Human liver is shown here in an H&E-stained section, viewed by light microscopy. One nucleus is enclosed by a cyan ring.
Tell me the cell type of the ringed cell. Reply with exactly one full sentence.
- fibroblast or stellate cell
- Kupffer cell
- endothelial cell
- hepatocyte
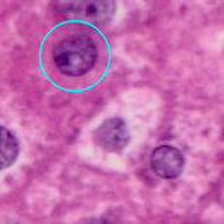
What the ringed cell represents is a hepatocyte.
